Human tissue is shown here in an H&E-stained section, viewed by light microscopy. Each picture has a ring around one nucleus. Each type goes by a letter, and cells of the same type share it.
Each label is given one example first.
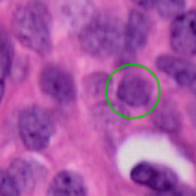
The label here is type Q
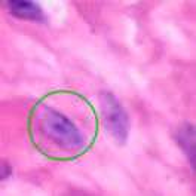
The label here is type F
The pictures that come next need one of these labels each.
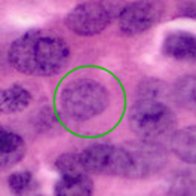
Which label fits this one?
type Q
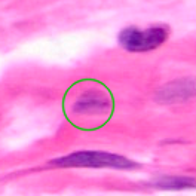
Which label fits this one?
type F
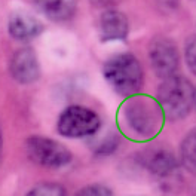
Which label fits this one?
type Q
